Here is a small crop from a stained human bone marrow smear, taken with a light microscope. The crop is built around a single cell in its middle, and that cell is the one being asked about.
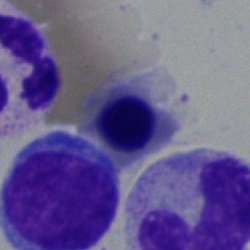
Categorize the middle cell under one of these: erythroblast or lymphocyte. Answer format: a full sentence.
Located at the centre of the crop is an erythroblast.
